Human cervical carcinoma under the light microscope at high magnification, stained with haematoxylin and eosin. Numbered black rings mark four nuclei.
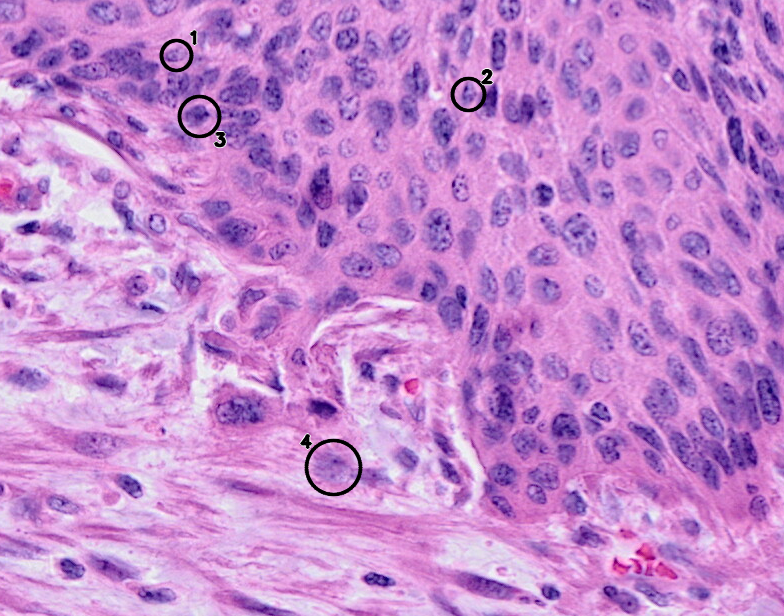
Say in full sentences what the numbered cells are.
Cell 1 is a squamous carcinoma cell, cell 2 is a squamous carcinoma cell, cell 3 is a squamous carcinoma cell and cell 4 is a fibroblast.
